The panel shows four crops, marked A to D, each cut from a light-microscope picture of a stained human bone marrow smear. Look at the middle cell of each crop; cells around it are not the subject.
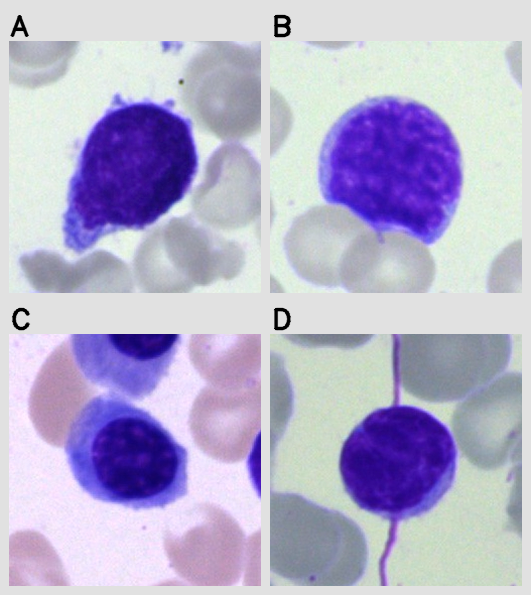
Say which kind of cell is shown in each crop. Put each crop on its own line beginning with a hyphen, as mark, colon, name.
- A: blast
- B: blast
- C: erythroblast
- D: lymphocyte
